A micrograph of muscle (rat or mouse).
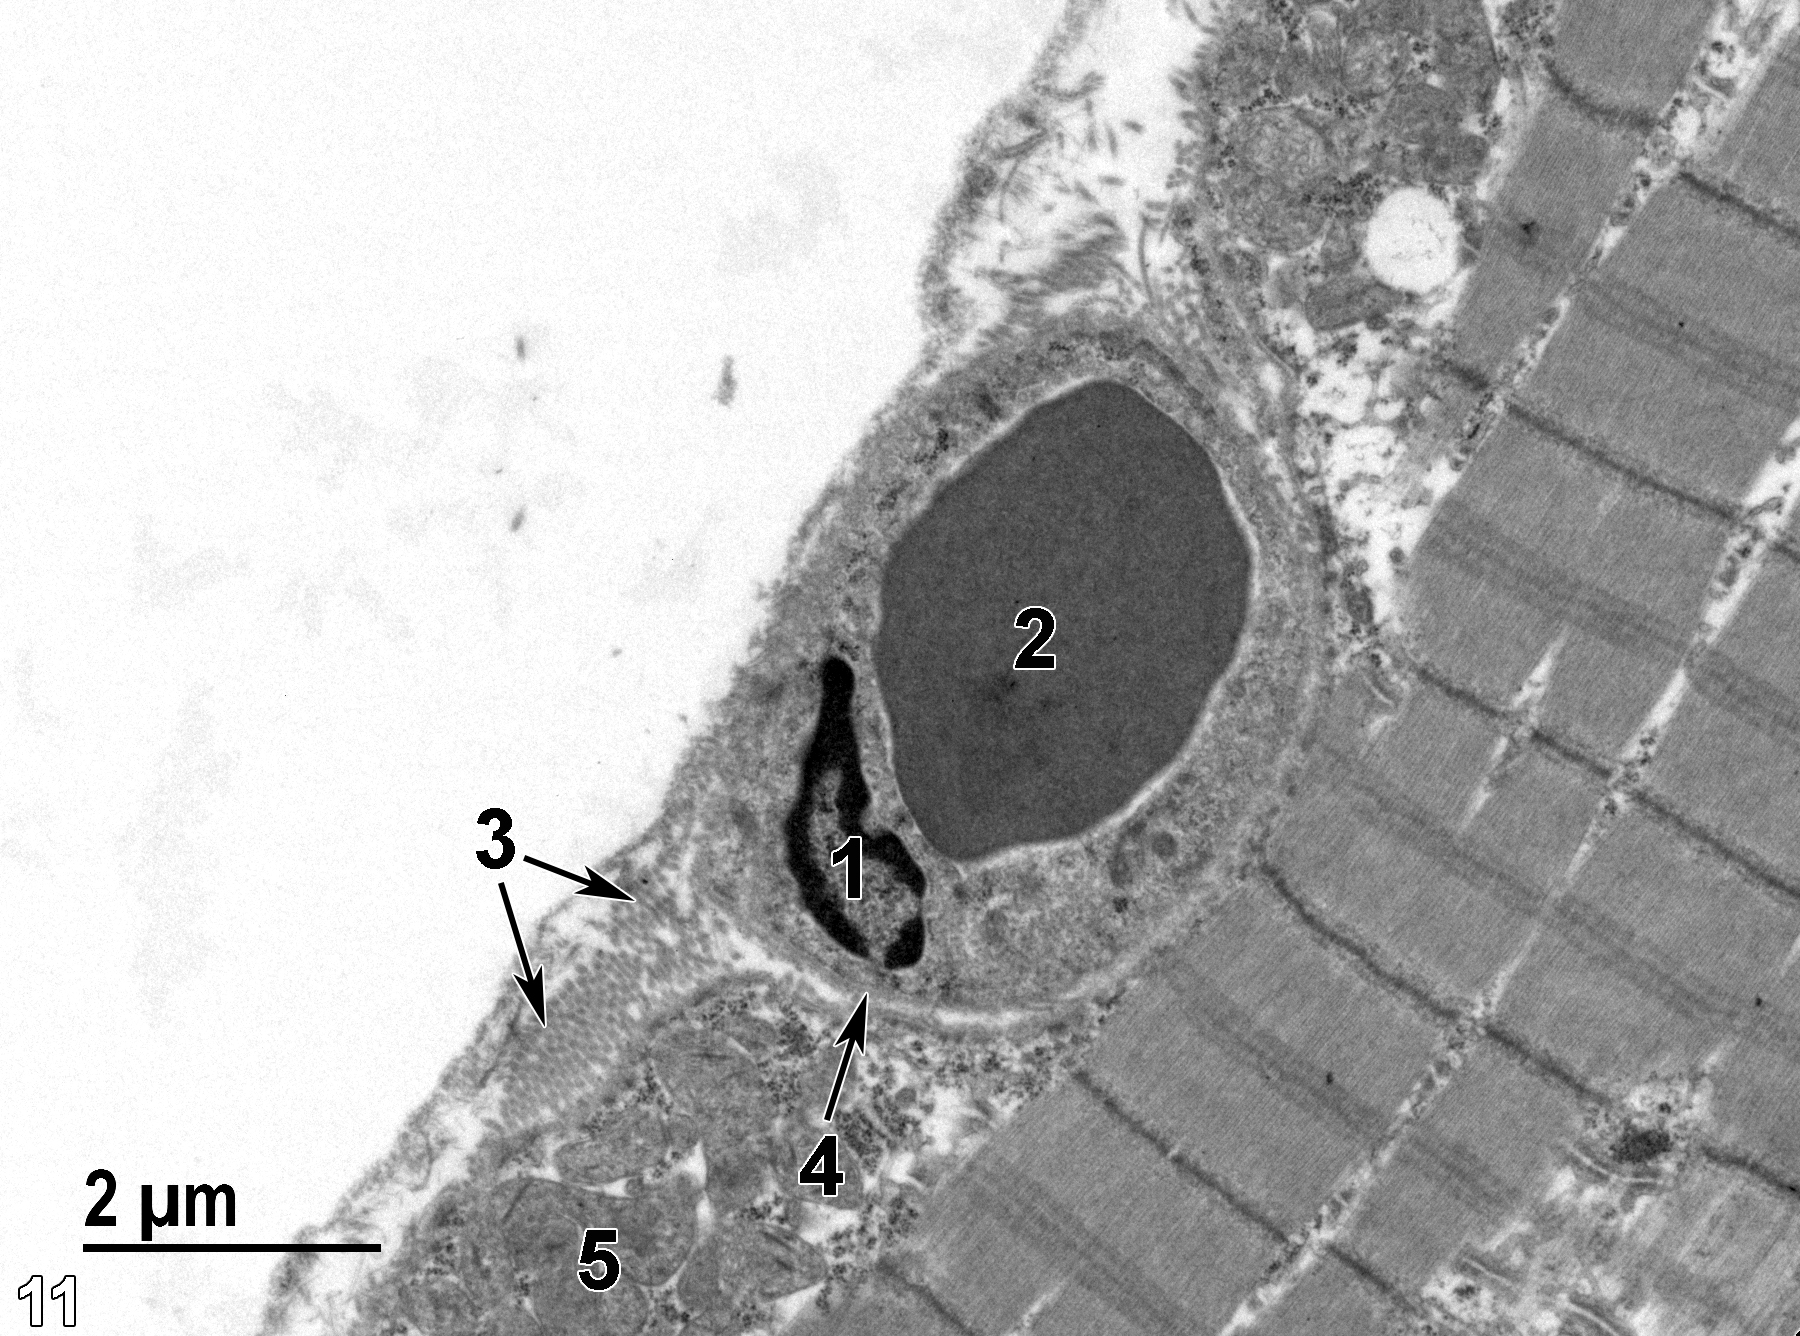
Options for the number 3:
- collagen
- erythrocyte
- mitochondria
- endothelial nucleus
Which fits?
collagen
